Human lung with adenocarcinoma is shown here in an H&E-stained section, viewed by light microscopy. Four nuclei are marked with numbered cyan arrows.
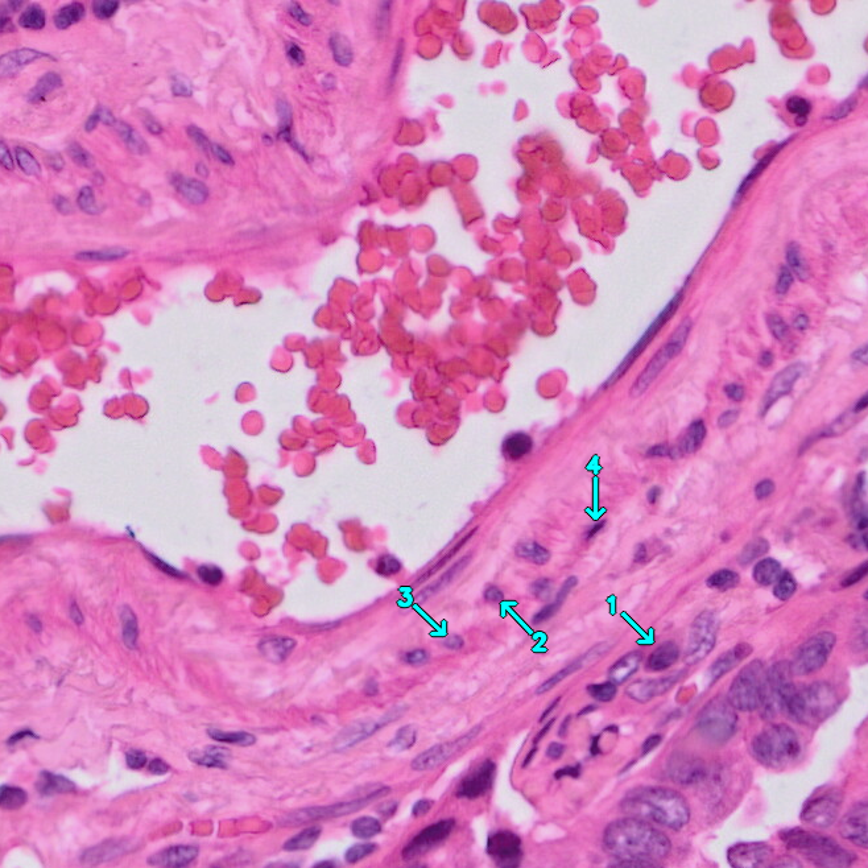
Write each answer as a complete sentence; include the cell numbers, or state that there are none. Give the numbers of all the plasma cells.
Only cell 1 qualifies as a plasma cell among the numbered cells.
